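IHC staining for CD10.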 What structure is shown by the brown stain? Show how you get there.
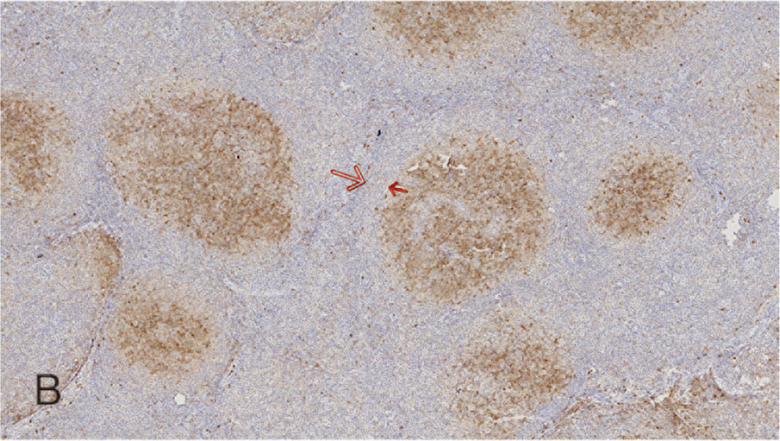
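Brown stain fills the centres of rounded nodules. The tissue between the nodules is blue and unstained.
Hence: central component.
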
